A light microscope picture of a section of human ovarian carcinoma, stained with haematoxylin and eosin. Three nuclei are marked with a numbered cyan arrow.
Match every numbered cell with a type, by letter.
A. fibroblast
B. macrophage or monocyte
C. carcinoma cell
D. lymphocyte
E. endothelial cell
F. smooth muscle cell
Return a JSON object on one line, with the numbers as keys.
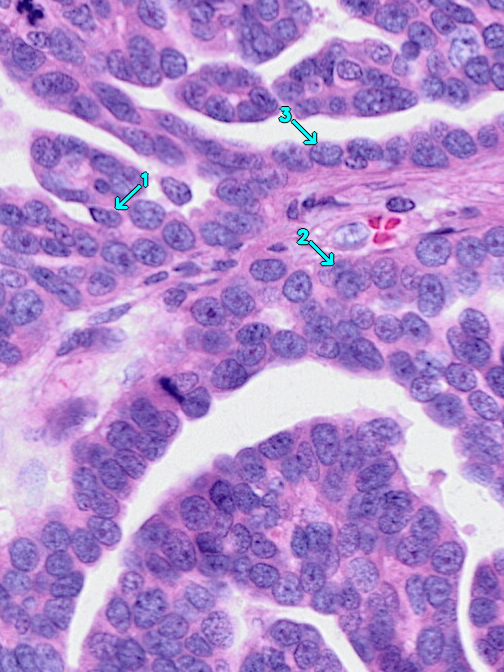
{"1": "B", "2": "C", "3": "C"}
